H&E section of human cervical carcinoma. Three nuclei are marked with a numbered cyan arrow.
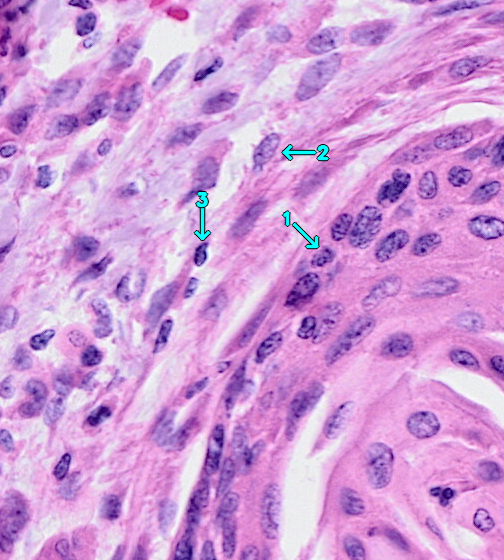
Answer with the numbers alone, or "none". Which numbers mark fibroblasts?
2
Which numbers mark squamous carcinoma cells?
1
